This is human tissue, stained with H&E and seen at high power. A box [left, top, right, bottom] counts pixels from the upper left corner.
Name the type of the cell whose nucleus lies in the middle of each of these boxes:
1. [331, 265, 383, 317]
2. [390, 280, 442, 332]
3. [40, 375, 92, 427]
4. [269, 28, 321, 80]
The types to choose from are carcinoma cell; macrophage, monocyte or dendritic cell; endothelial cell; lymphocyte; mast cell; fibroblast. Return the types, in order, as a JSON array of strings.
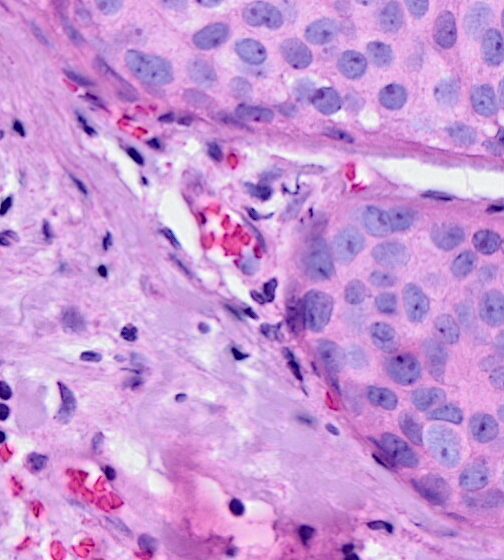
["carcinoma cell", "carcinoma cell", "fibroblast", "carcinoma cell"]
